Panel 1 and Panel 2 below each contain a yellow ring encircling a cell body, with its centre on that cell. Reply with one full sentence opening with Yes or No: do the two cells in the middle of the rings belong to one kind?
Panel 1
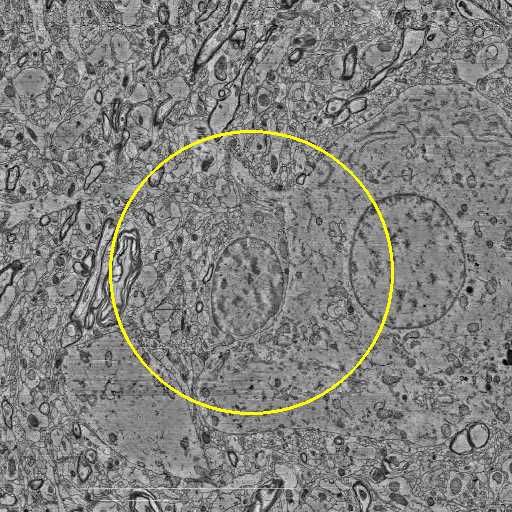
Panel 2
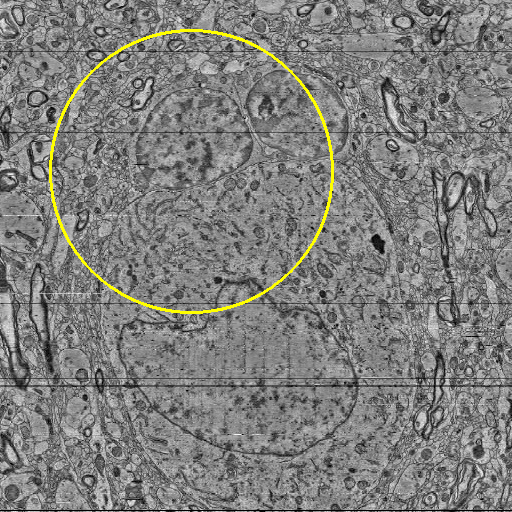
Yes, the cells at the middle of the Panel 1 ring and the Panel 2 ring are of one kind.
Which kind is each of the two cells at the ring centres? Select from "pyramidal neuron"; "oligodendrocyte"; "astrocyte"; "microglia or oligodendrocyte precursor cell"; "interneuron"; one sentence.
Both rings mark an oligodendrocyte, one in each picture.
